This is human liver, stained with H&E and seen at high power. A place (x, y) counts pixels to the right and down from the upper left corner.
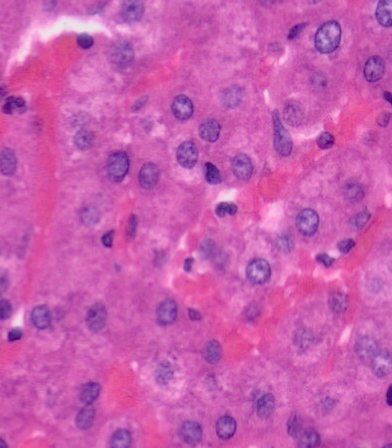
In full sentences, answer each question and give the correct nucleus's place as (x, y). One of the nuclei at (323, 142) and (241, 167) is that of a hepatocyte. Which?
The nucleus positioned at (241, 167) is the one that belongs to a hepatocyte.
